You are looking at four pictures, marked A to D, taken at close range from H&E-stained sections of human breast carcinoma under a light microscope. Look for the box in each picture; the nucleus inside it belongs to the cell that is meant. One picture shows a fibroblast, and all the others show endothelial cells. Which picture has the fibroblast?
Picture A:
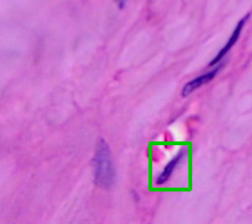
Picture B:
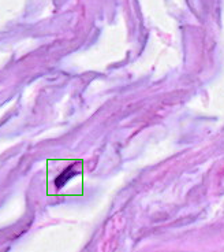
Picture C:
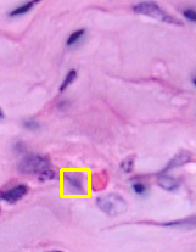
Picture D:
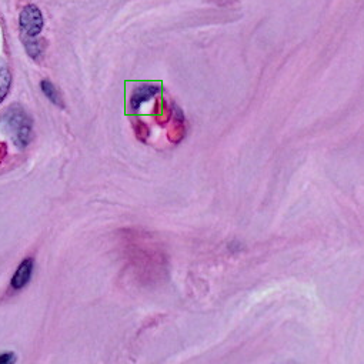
B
